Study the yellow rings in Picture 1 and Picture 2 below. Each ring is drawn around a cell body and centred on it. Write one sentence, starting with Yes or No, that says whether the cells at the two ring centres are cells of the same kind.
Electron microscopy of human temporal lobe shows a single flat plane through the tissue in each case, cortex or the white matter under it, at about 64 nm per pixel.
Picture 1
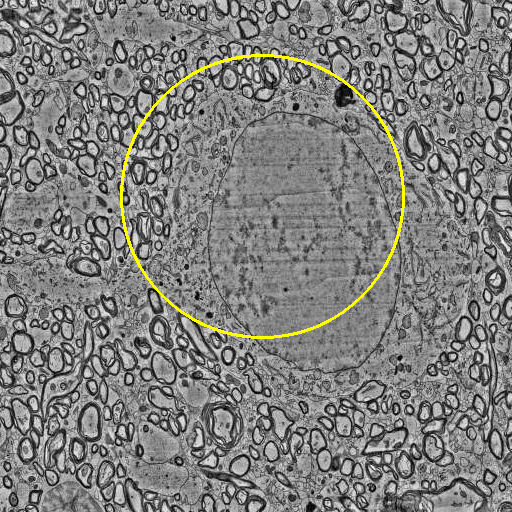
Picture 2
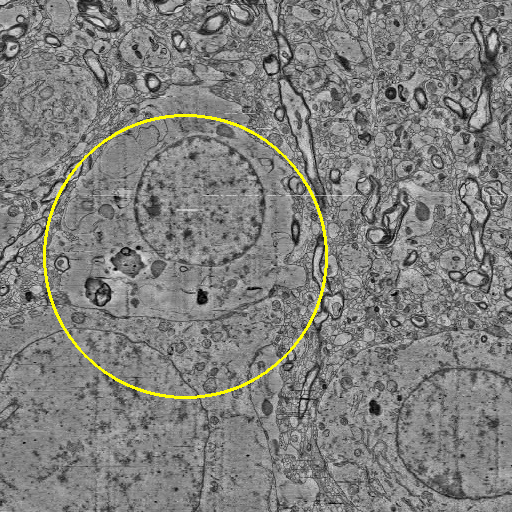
No, the cells at the ring centres are of two kinds.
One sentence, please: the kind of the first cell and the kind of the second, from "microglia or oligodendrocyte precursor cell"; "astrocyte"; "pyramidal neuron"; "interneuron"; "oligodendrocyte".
The ring in the first picture surrounds a pyramidal neuron, and the ring in the second surrounds an astrocyte.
